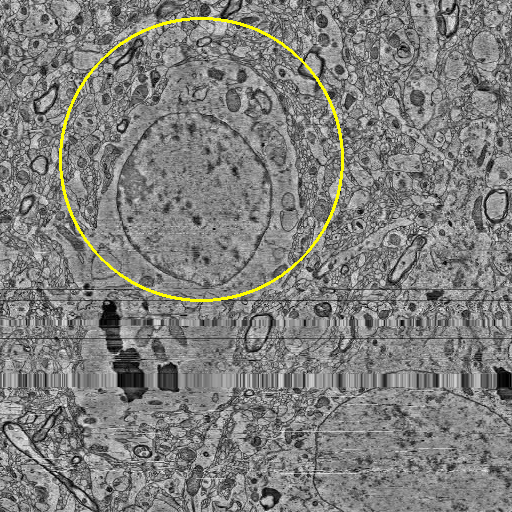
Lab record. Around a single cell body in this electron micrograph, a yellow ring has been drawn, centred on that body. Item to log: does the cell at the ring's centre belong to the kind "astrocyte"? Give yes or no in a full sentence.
Yes, in the micrograph, the ringed cell at the centre belongs to that kind.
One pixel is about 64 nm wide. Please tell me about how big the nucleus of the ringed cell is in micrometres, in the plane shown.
The ringed cell's nucleus is about 12 micrometres long and 10 micrometres wide in this plane.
